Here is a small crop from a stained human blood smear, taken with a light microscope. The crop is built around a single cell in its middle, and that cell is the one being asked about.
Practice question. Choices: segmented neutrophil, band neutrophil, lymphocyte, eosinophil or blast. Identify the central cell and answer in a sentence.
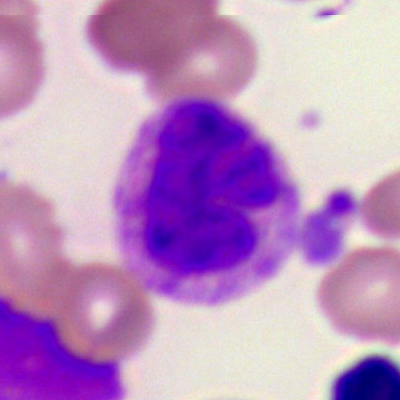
Here the cell in the middle is a band neutrophil.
